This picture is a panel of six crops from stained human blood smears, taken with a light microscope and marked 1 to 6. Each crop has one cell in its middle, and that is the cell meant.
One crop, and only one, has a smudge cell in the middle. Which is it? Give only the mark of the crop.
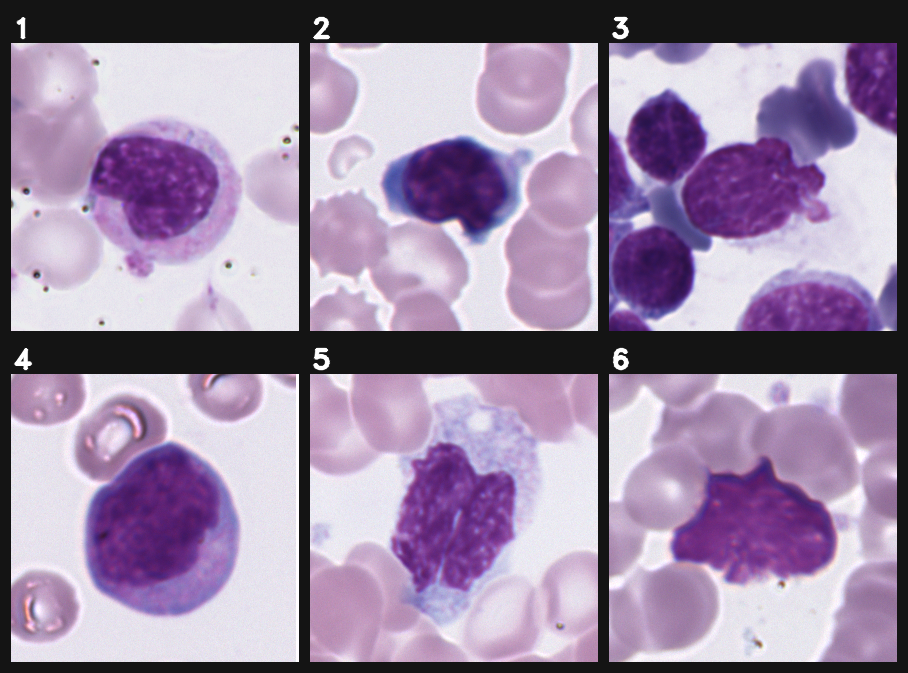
6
